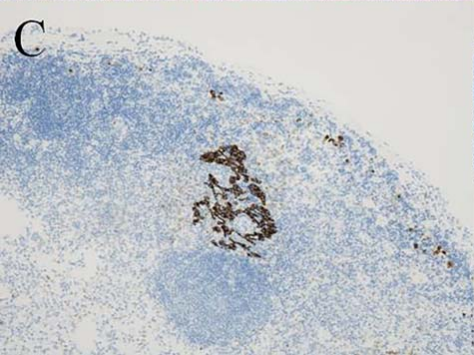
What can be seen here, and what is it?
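This is a lymph node with a small nest of metastatic tumor cells picked out in brown against a background of blue-counterstained lymphocytes. The tumor cells form a cohesive, irregular cluster and are clearly larger than the small, densely packed lymphocytes around them. A rounded lymphoid follicle lies just below the cluster, and a few scattered brown cells are seen towards the capsule at the top.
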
